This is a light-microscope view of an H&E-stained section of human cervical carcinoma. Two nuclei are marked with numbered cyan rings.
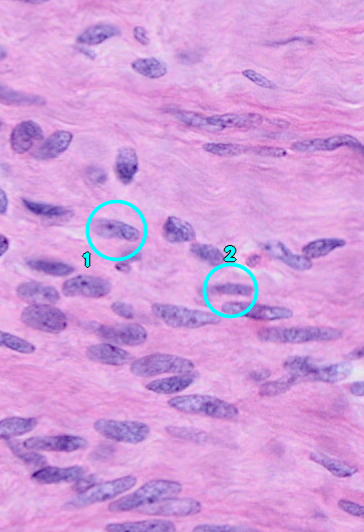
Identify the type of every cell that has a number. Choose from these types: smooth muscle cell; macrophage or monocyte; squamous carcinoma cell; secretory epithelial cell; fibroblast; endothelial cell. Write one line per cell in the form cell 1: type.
cell 1: fibroblast
cell 2: smooth muscle cell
